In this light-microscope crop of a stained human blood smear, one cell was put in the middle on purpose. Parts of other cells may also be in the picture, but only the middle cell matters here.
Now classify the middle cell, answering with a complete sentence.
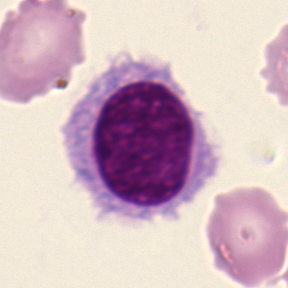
Centrally within this crop lies a hairy cell.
